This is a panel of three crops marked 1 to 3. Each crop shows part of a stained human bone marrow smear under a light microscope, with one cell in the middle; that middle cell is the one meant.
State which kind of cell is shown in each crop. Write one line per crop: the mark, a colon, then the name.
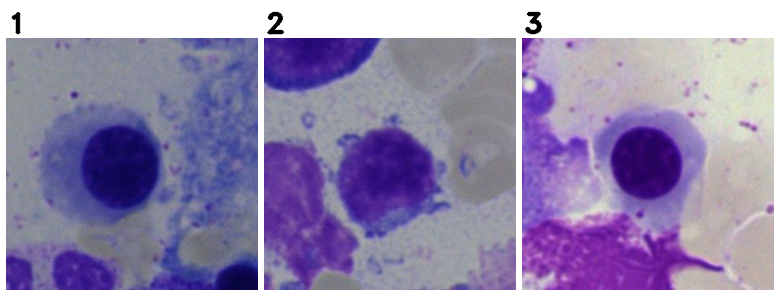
1: normoblast
2: lymphocyte
3: normoblast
